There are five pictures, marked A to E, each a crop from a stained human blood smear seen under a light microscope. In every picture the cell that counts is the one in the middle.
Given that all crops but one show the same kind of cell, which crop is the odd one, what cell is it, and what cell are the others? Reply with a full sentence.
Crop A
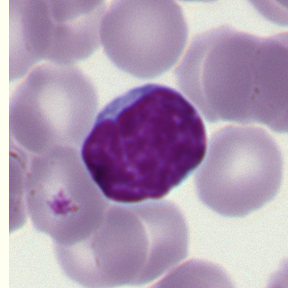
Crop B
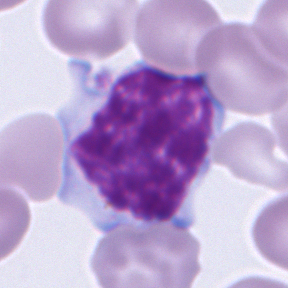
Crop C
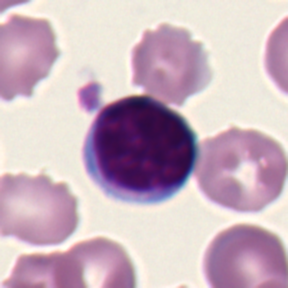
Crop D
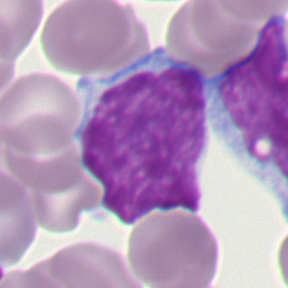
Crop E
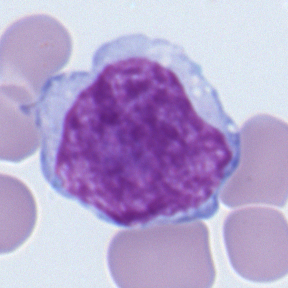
The odd one out is crop E, a myeloblast, and all other crops show typical lymphocytes.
